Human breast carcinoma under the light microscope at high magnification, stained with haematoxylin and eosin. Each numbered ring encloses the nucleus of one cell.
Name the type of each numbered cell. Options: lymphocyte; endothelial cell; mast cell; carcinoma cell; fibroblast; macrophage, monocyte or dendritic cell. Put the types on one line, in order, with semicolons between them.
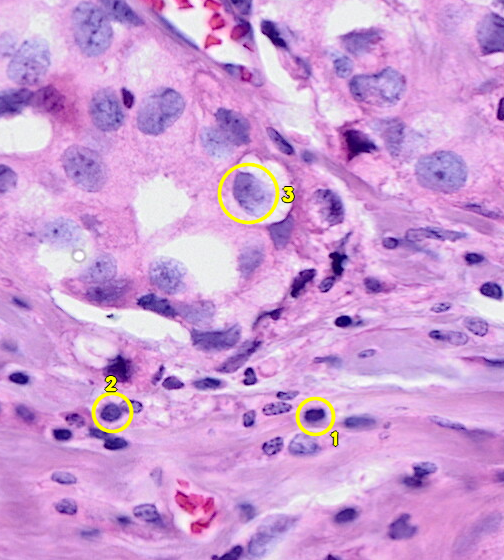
lymphocyte; lymphocyte; carcinoma cell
